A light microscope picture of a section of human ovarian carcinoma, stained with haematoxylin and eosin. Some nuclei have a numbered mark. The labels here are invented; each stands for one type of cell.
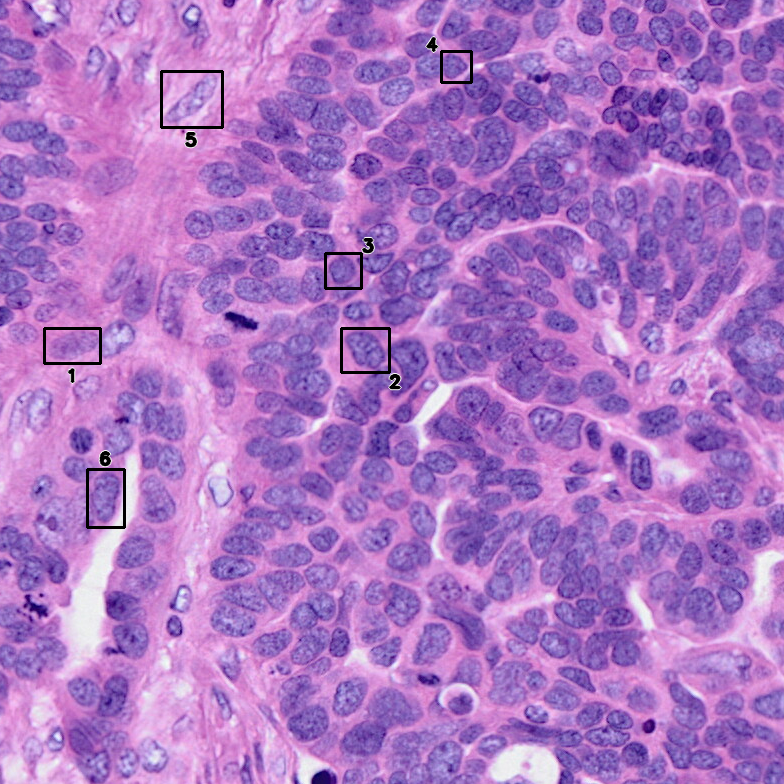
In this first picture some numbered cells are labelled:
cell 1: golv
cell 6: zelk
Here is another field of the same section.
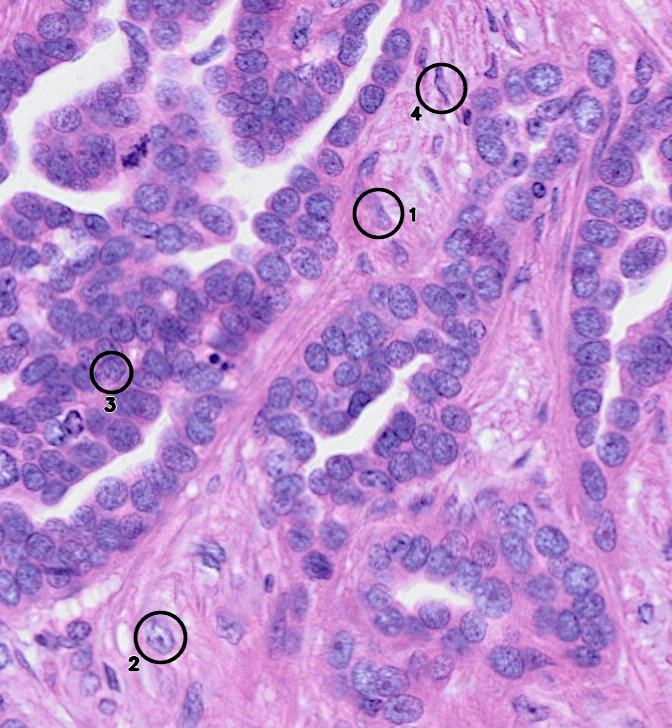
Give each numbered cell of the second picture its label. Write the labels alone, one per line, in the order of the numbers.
golv
golv
zelk
golv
